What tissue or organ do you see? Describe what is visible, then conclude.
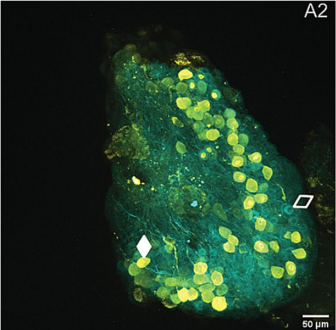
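Ganglion. Many large round cell bodies packed together. Nerve fibres run between and across the cell bodies. No epithelial sheet or layering.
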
